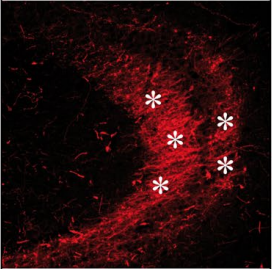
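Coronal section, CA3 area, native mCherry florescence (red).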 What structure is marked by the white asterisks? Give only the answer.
axon terminals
